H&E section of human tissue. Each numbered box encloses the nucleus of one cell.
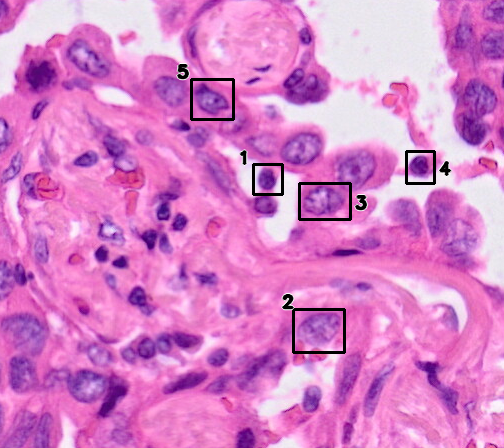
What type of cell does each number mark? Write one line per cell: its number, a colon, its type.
1: lymphocyte
2: carcinoma cell
3: carcinoma cell
4: lymphocyte
5: carcinoma cell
